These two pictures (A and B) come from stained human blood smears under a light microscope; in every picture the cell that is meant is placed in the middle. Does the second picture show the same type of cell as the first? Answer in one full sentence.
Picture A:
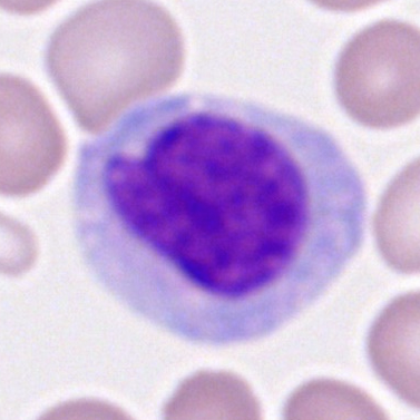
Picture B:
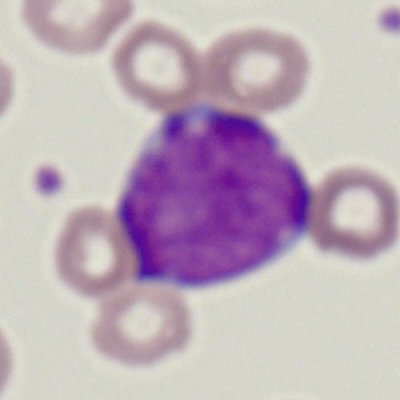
No; the cell in picture A is a monocyte, while the one in picture B is a myeloblast.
